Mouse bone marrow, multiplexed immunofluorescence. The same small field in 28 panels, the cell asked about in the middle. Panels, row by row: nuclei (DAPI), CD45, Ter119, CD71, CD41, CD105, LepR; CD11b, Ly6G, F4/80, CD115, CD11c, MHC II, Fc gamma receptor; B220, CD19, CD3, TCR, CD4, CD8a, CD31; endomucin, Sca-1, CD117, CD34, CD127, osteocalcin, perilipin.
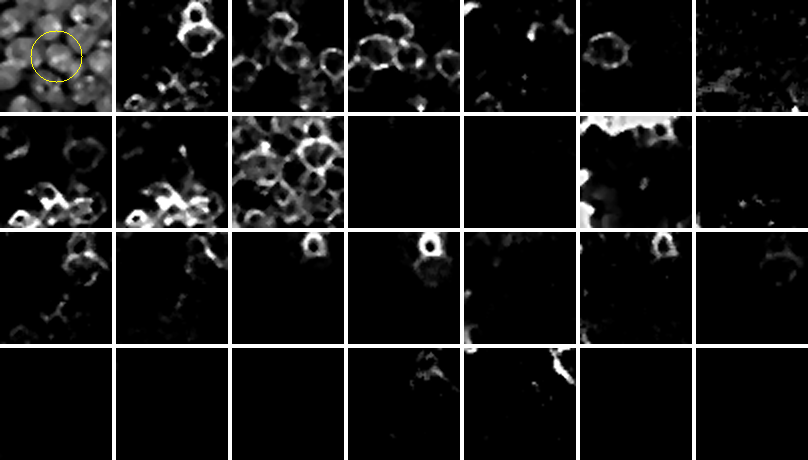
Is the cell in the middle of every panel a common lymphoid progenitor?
No, it is an erythroblast.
